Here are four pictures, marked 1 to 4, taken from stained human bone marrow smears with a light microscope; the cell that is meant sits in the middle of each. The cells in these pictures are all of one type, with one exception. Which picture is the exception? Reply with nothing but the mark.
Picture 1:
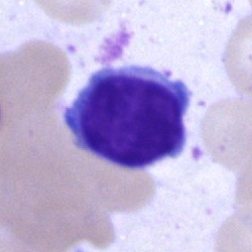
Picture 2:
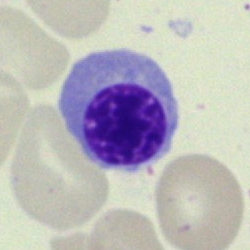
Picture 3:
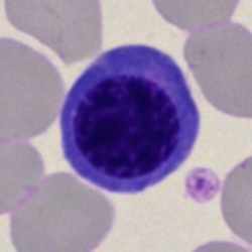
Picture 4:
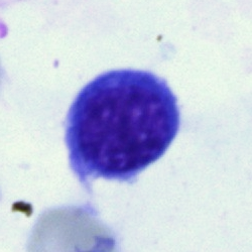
1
